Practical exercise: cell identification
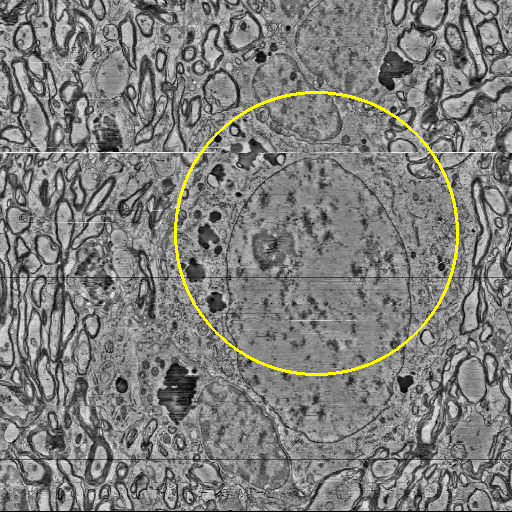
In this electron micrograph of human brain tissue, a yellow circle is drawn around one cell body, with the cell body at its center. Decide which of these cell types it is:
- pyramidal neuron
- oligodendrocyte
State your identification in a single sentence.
The ringed cell is a pyramidal neuron.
